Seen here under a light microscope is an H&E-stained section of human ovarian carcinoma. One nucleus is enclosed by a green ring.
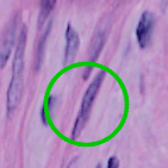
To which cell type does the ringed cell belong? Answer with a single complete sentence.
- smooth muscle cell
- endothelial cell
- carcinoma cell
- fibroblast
This is a smooth muscle cell.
